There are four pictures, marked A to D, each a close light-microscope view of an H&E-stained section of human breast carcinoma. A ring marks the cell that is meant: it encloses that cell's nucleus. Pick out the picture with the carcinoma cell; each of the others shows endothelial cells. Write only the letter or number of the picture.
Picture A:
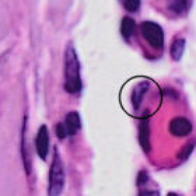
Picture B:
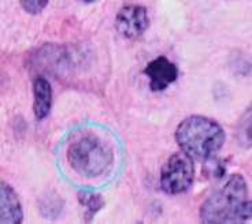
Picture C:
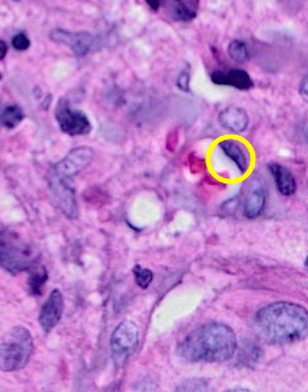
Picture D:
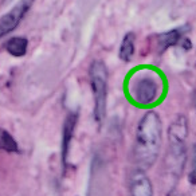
B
